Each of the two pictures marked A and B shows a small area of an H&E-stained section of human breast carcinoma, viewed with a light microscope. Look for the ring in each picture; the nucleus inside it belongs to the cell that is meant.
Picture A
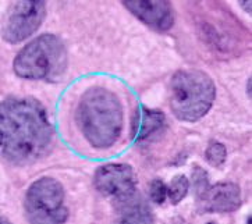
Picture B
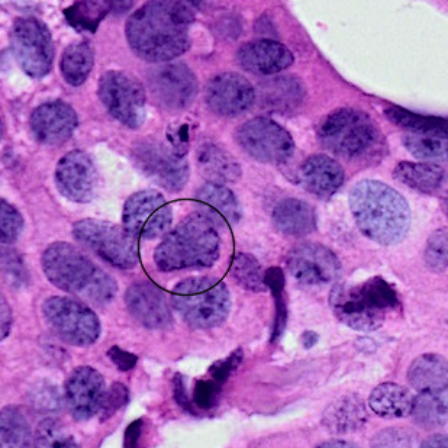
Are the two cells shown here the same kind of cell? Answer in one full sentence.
Yes, both cells are carcinoma cells.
